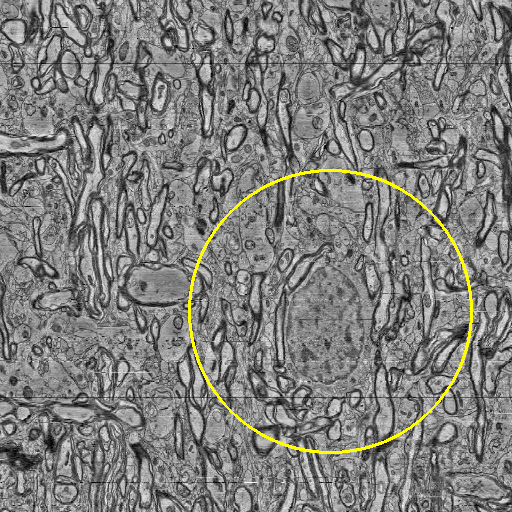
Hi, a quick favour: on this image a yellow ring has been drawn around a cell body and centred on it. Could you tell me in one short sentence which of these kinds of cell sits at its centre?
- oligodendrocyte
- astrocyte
The ring is centred on an oligodendrocyte.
